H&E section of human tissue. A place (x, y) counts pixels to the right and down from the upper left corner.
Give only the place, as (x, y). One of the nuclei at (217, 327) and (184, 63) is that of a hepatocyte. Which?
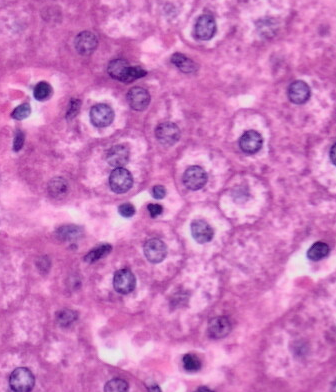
(217, 327)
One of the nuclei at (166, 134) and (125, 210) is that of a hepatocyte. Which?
(166, 134)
